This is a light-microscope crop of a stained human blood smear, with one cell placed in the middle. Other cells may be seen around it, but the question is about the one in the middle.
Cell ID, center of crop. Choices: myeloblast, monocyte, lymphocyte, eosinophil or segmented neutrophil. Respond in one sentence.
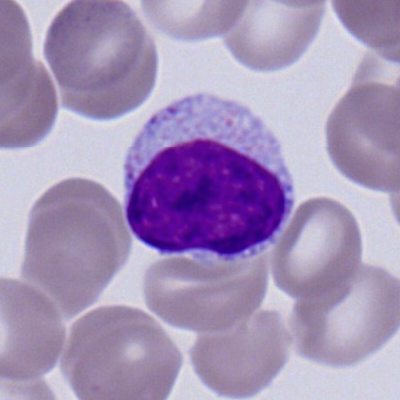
The cell of interest, located centrally, is a lymphocyte.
